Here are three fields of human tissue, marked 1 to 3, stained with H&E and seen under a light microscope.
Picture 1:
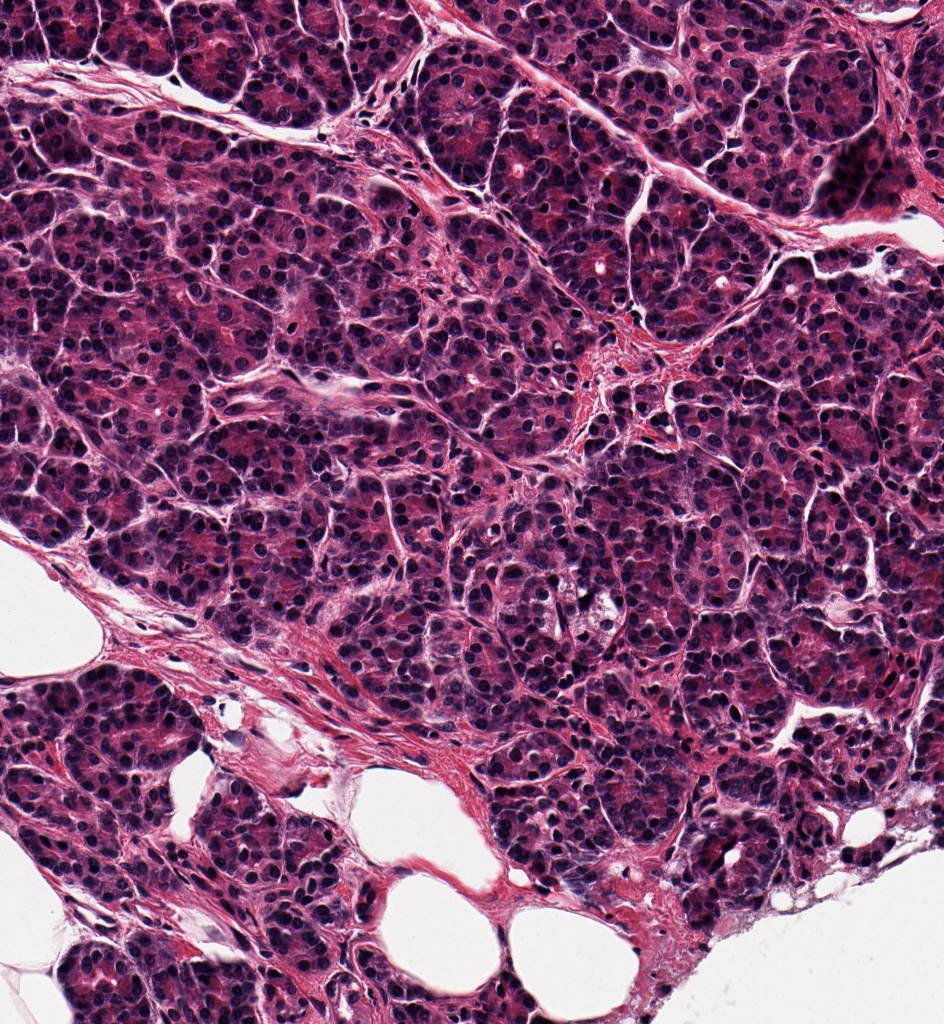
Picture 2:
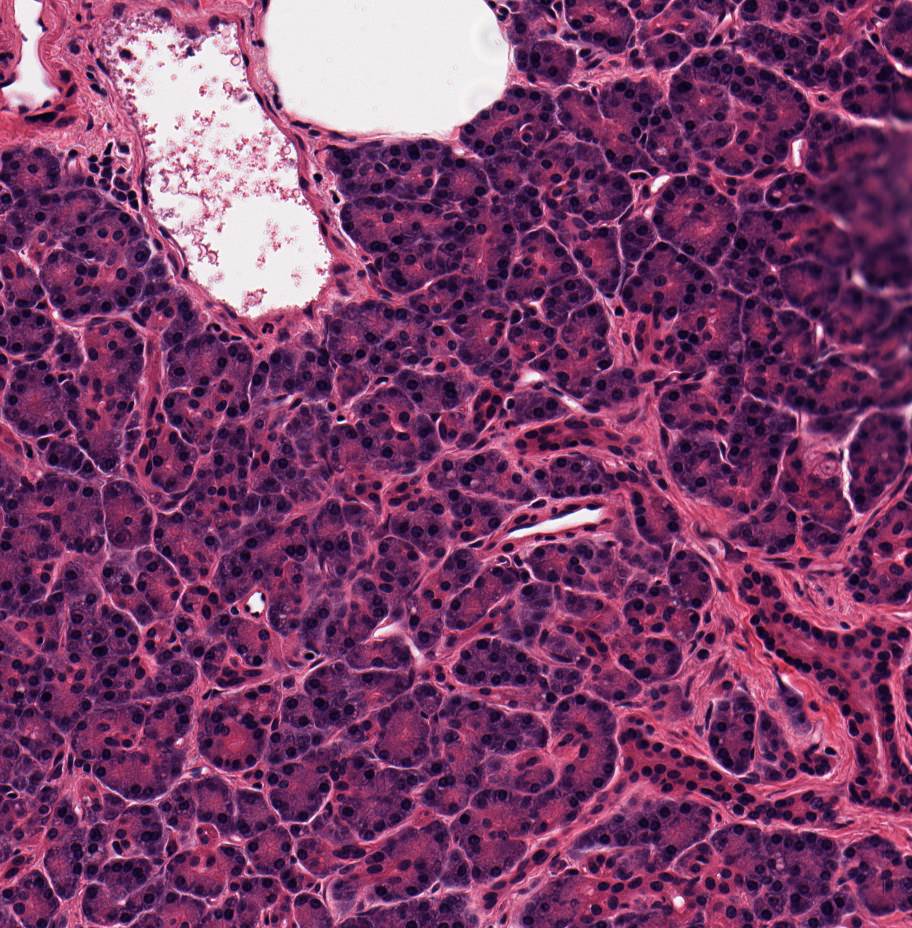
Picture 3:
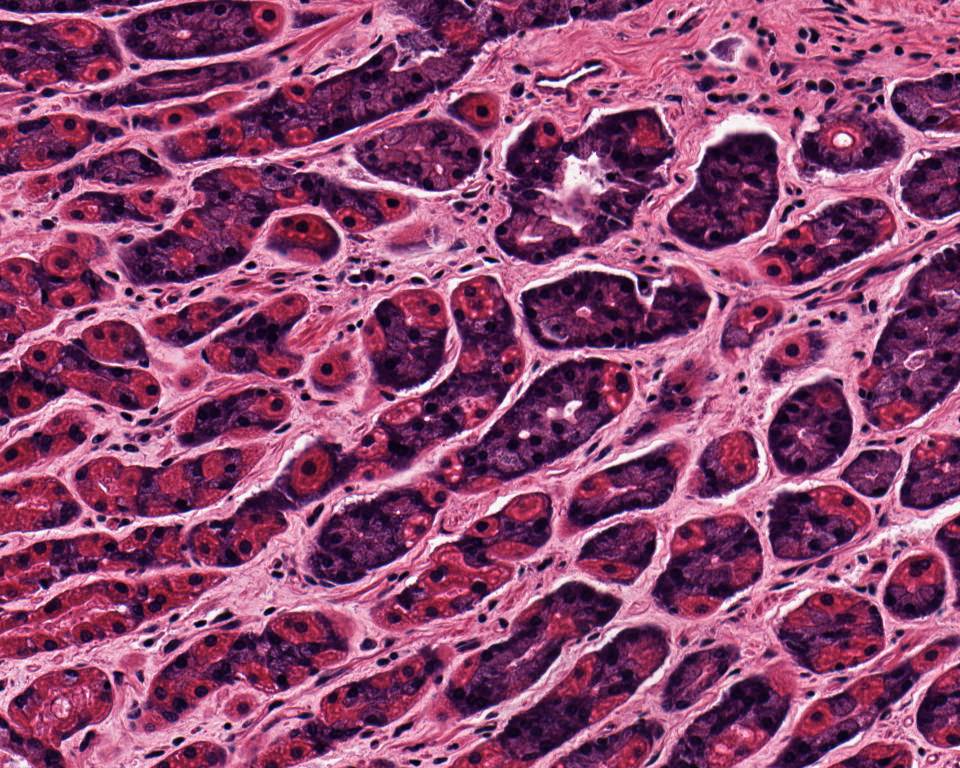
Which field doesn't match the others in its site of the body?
3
